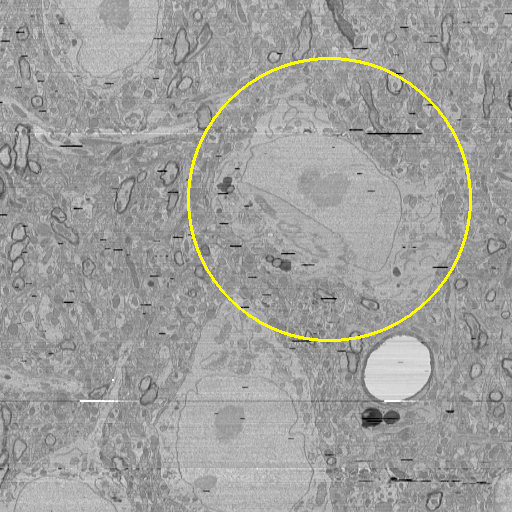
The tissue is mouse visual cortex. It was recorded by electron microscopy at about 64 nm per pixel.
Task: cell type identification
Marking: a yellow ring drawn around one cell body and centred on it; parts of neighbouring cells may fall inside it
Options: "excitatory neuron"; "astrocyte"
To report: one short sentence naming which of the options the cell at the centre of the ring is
The cell at the centre of the ring is an excitatory neuron.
